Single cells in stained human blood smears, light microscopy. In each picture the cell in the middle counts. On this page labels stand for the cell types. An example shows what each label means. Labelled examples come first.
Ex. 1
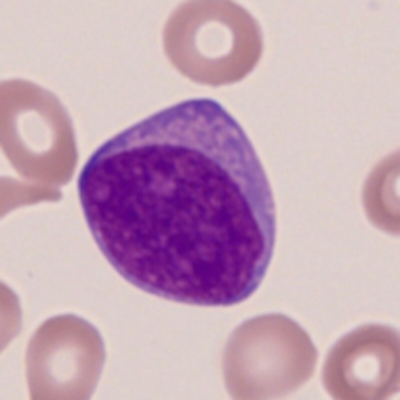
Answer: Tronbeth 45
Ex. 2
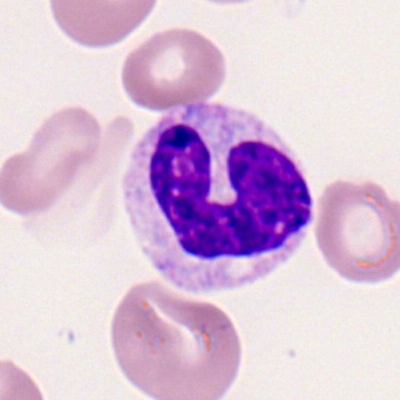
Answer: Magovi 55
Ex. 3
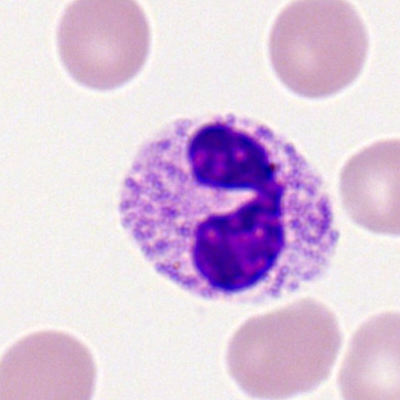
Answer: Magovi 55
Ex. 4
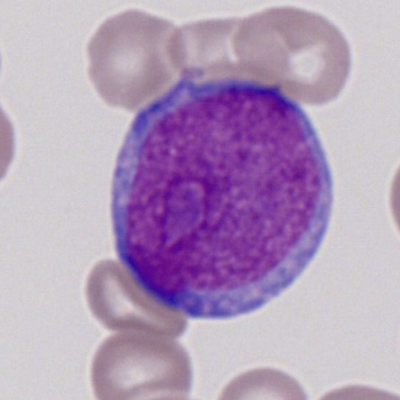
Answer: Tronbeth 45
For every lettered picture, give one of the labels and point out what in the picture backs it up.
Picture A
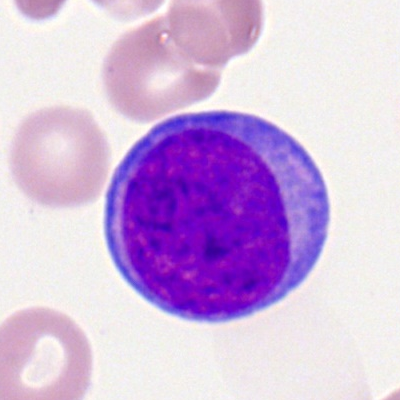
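Label: Tronbeth 45. The cytoplasm is a deep blue rim that is widest on the right side.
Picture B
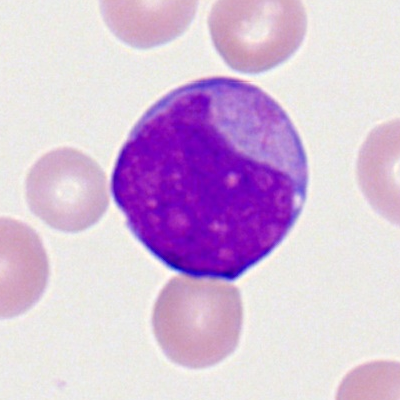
Label: Tronbeth 45. The nucleus fills most of the cell, leaving the cytoplasm mainly as a crescent at the upper right.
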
